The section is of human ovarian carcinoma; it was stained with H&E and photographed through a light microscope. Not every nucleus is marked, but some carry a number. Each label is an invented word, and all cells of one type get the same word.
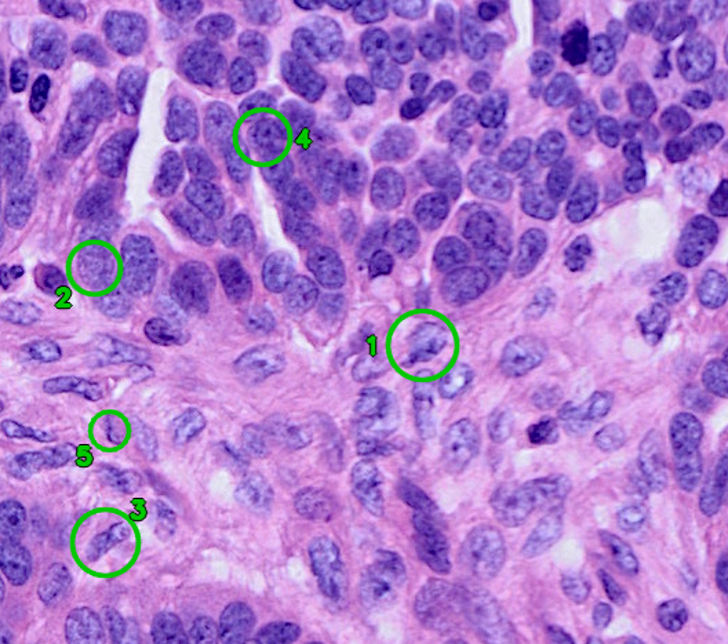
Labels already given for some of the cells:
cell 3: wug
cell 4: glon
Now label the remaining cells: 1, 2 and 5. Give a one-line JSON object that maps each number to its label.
{"1": "wug", "2": "glon", "5": "wug"}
